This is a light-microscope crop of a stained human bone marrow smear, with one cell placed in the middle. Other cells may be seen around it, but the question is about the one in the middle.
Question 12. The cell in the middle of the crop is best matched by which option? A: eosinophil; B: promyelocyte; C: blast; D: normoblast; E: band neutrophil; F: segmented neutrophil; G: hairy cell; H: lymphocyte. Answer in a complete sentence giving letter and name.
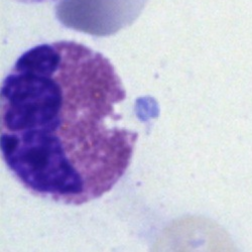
Option A gets it right: the cell in the middle is an eosinophil.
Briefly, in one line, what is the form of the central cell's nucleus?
If you check the nucleus, you will find it split into two or more lobes.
